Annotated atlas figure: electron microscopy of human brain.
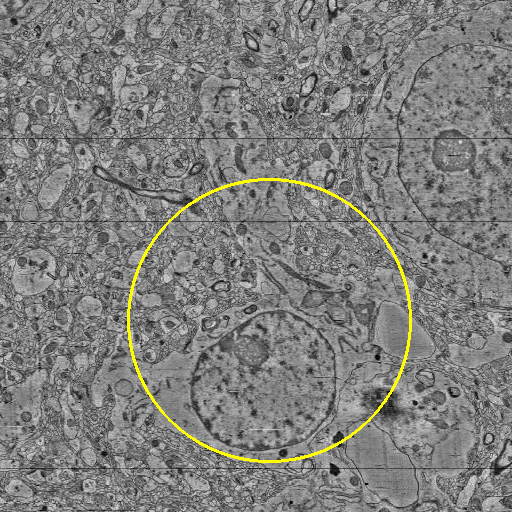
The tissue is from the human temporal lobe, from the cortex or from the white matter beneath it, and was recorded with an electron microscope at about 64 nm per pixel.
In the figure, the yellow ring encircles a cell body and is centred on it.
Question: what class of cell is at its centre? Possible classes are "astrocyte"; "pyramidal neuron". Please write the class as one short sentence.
The yellow ring is drawn around an astrocyte.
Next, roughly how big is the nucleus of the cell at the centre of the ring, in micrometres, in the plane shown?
In this plane the nucleus is about 9 micrometres across.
